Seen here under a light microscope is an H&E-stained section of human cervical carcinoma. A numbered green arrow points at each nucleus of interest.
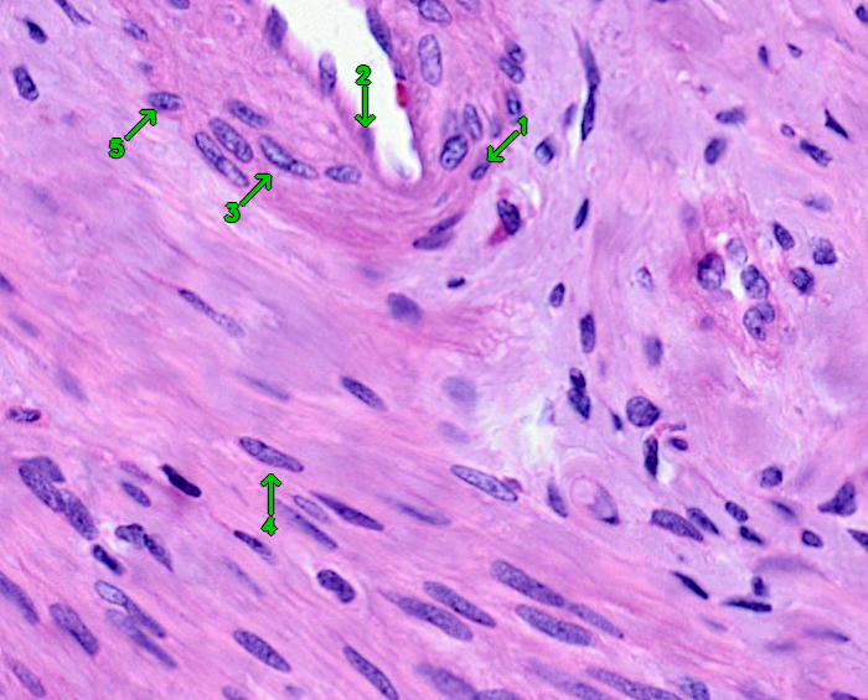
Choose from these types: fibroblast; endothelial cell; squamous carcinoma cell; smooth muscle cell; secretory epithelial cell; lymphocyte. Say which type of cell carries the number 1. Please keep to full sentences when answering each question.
The marked cell bearing number 1 is a smooth muscle cell.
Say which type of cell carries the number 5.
The label 5 in this section denotes a smooth muscle cell.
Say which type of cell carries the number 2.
The cell numbered 2 represents an endothelial cell.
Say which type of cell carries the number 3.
Among the marked cells, number 3 is a smooth muscle cell.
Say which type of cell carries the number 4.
The marked nucleus 4 is that of a fibroblast.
